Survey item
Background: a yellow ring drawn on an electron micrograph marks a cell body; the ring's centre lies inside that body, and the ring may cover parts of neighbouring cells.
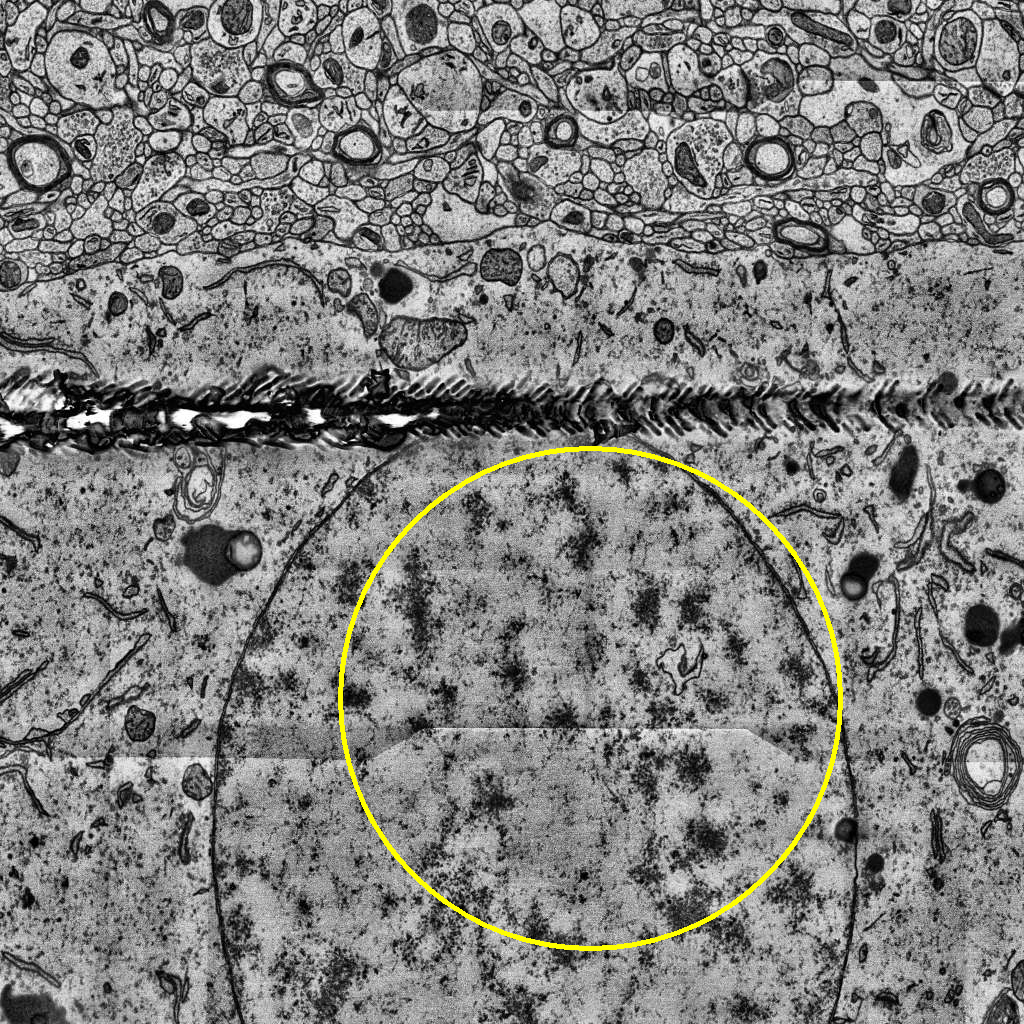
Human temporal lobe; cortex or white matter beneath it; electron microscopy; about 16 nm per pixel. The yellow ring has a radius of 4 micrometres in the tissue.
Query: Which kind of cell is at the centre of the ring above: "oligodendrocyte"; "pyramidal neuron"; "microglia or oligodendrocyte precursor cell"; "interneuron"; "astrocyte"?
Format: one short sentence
The cell in the middle of the ring is a pyramidal neuron.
